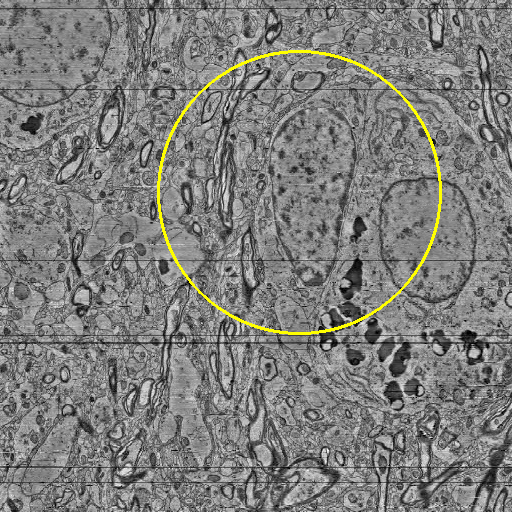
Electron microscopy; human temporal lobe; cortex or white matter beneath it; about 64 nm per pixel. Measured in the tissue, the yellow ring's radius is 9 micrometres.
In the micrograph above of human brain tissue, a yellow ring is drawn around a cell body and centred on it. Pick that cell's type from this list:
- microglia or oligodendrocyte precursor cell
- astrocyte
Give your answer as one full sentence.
Going by the list, a microglial cell or oligodendrocyte precursor cell is the cell on which the yellow ring is centred.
